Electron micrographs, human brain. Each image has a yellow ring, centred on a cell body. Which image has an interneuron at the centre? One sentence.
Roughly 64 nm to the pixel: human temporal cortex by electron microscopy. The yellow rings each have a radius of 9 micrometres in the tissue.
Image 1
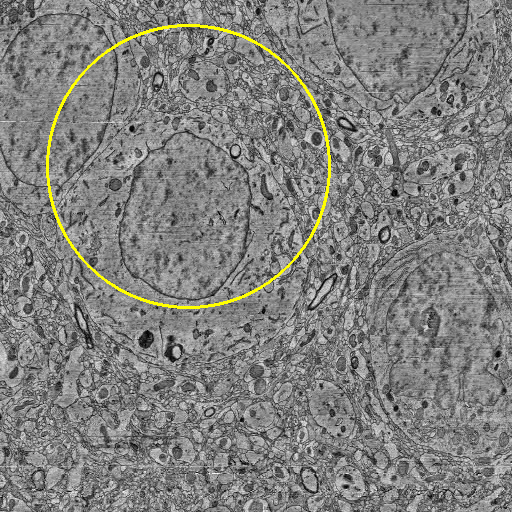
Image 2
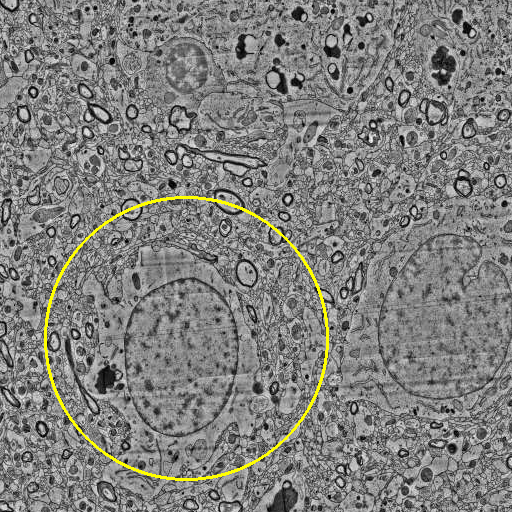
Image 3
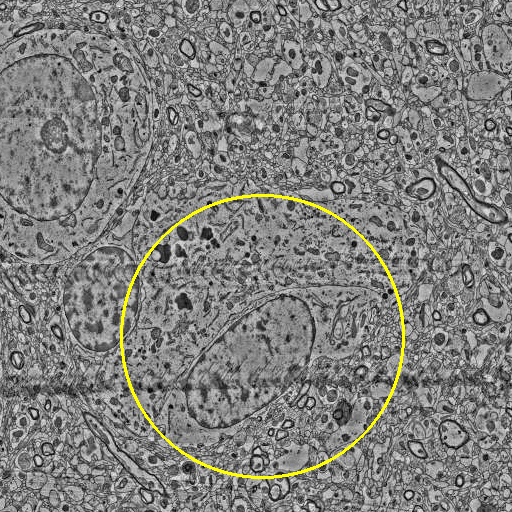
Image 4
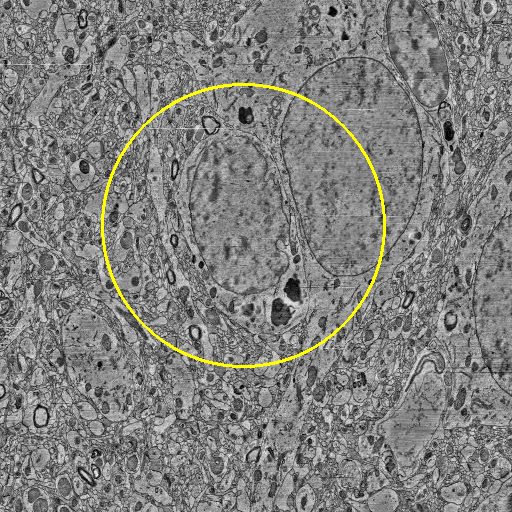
The ring in Image 4 is centred on it.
